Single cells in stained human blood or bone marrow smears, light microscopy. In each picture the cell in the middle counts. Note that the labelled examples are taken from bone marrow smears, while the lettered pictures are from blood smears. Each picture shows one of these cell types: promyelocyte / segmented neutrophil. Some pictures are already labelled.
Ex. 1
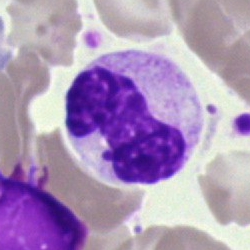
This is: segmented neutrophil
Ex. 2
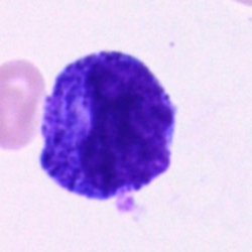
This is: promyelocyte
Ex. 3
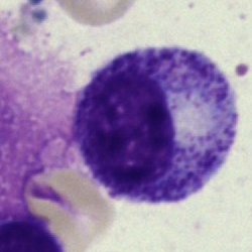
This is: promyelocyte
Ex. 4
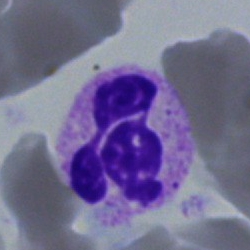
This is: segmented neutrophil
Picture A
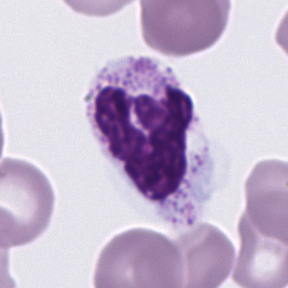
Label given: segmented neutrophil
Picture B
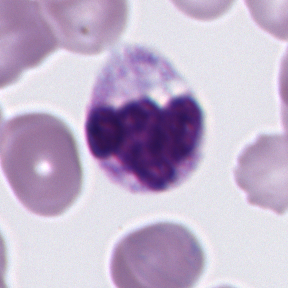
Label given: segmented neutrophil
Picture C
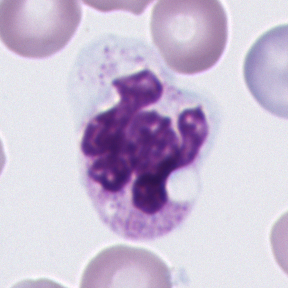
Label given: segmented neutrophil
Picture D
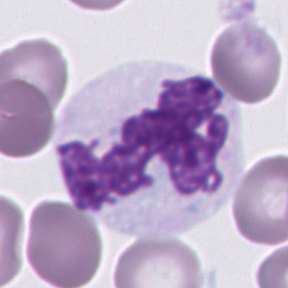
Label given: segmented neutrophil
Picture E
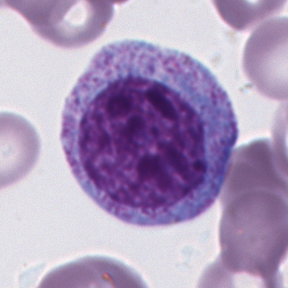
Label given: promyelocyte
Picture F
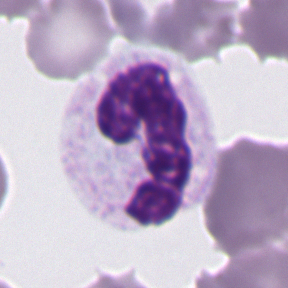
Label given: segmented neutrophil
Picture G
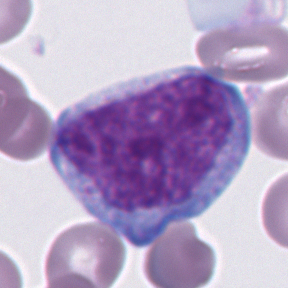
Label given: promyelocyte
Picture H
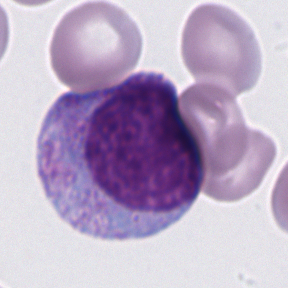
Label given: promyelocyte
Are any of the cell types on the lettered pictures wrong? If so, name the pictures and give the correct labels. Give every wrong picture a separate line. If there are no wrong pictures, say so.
None of the labels needs changing.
